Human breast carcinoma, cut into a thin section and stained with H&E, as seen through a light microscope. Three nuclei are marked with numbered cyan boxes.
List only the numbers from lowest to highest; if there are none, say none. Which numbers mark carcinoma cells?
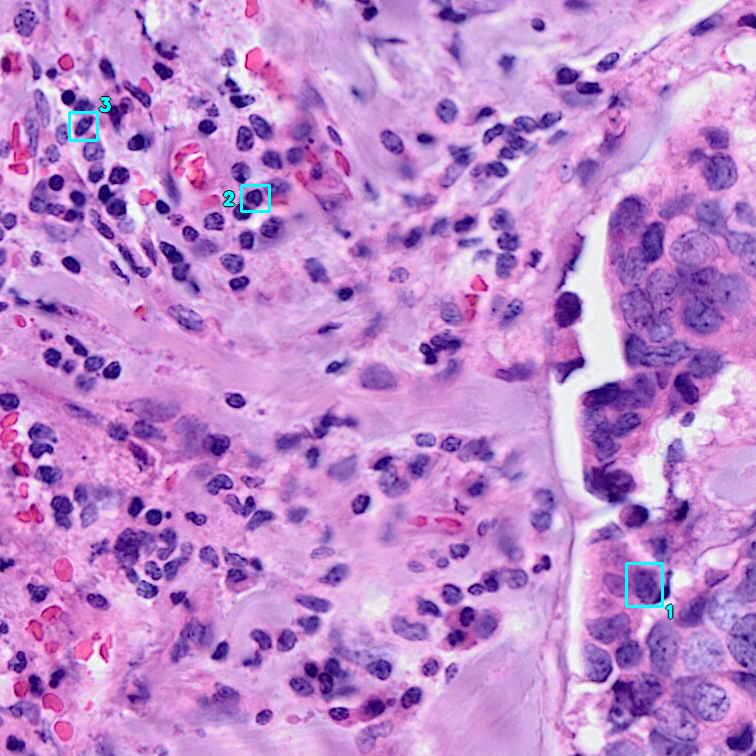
1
